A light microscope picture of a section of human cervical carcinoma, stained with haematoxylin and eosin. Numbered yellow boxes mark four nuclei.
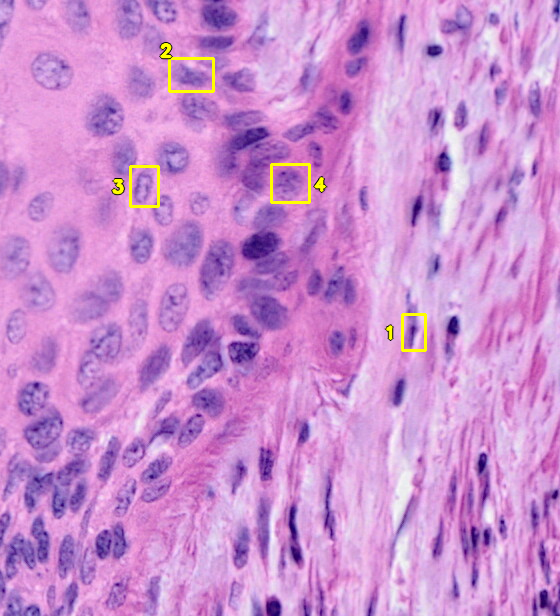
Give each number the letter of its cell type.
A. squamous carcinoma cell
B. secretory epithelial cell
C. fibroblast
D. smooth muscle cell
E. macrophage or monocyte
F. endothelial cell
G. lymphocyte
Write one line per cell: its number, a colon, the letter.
1: C
2: A
3: A
4: A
